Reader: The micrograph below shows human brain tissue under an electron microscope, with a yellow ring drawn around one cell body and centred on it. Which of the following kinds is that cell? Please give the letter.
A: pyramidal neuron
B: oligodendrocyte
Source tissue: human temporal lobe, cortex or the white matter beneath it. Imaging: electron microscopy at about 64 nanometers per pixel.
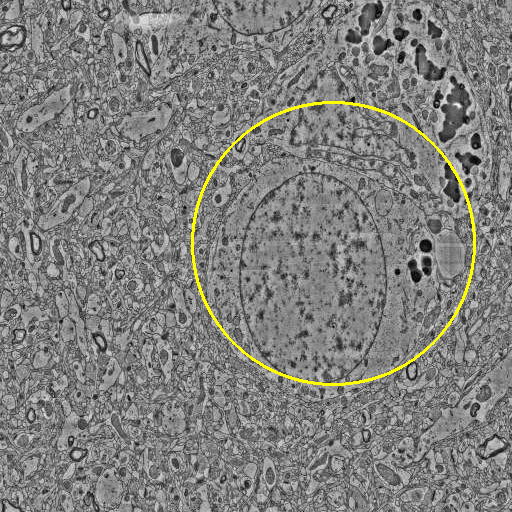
A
